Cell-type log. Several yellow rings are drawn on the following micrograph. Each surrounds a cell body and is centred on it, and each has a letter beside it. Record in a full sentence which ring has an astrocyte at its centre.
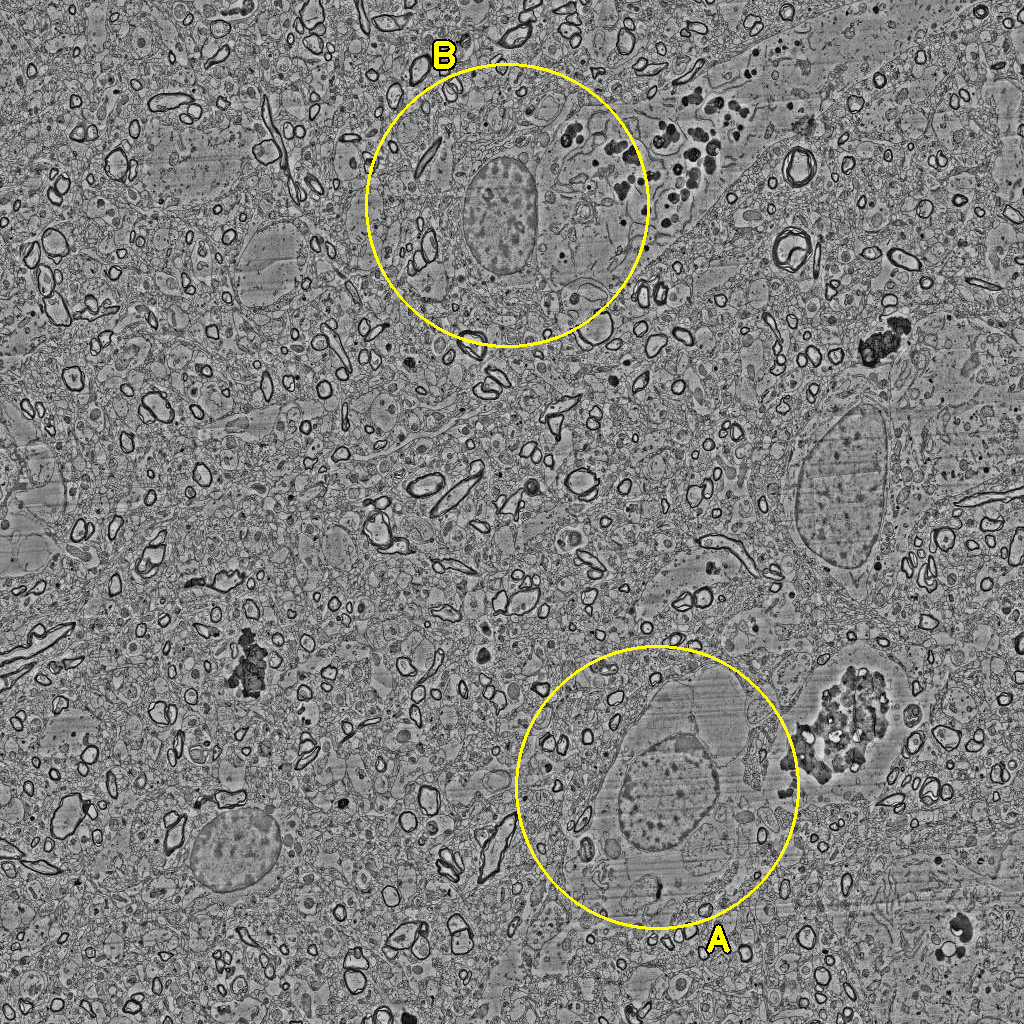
Ring A has it at its centre.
